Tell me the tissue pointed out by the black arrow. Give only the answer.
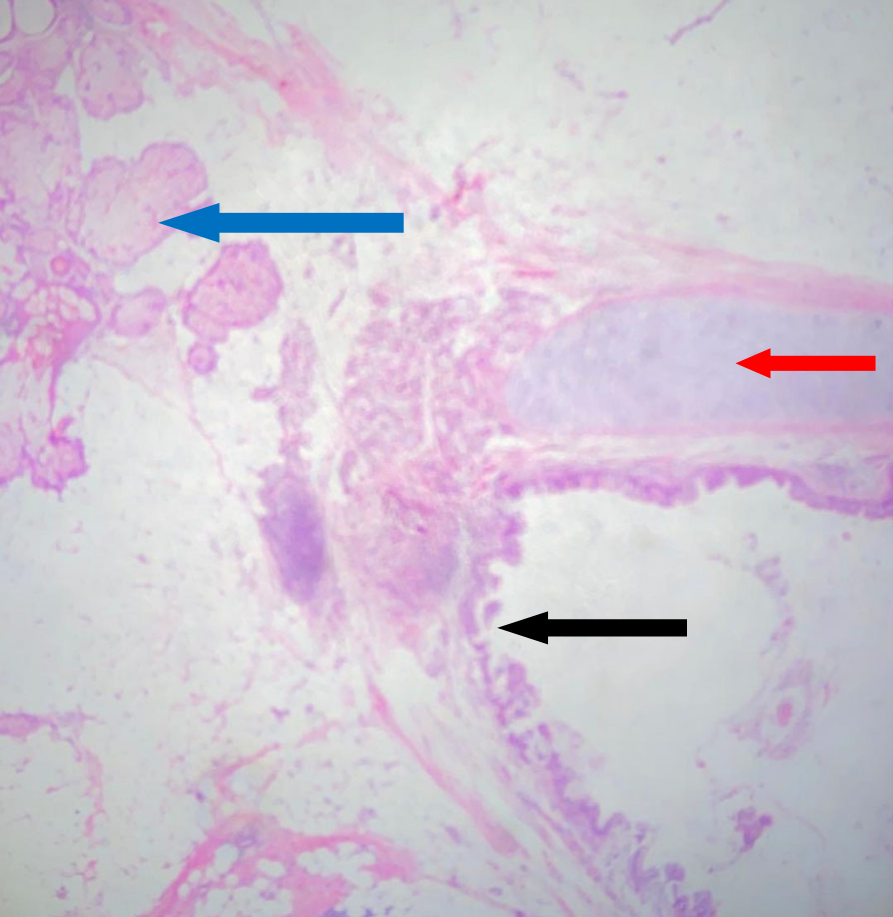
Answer: Pseudo stratified columnar ciliated epithelium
